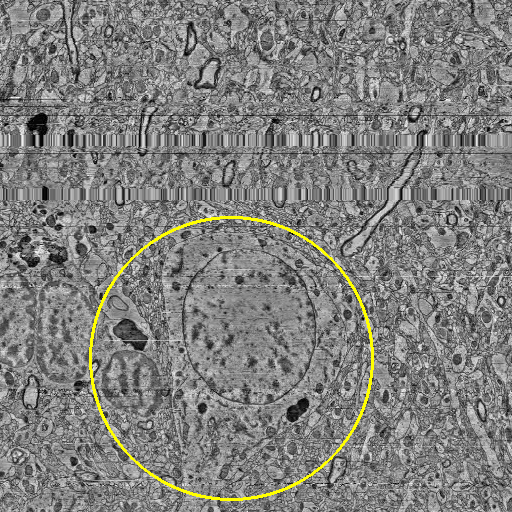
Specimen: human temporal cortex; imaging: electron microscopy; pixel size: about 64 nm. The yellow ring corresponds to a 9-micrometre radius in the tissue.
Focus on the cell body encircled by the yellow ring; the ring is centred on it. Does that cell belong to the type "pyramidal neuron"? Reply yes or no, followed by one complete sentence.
Yes, that type fits the cell lying at the centre of the ring in the picture.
